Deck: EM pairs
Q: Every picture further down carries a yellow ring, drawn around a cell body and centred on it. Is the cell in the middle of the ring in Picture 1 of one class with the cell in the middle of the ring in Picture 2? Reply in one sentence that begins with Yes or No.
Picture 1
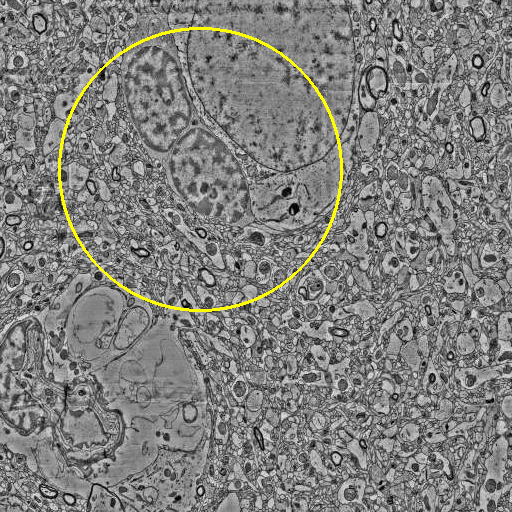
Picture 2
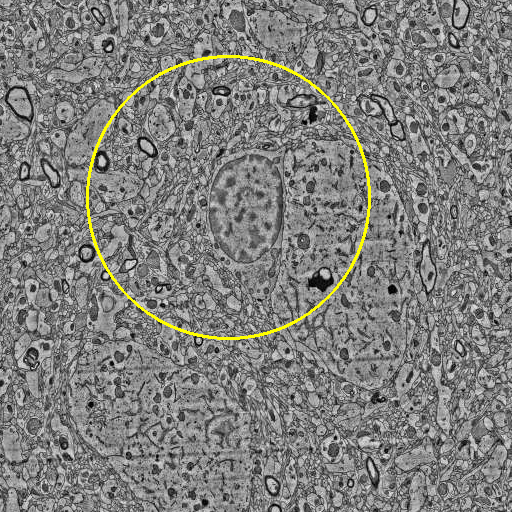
Yes, the cell centred in the ring of Picture 1 and the one in Picture 2 belong to one class.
